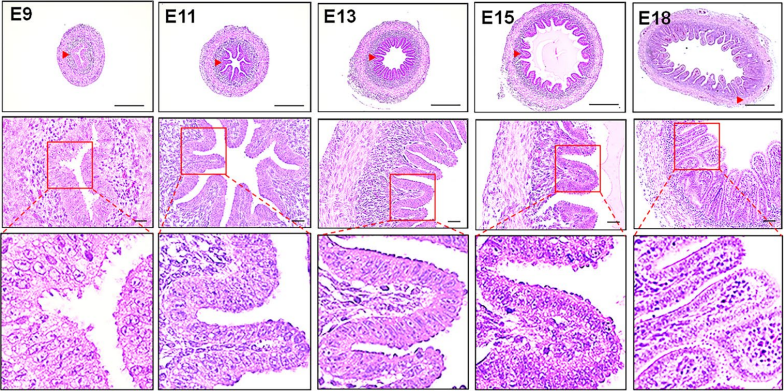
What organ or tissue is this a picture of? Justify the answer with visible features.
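Small intestine. Round tubular cross-sections with a central lumen. Mucosal folds or finger-like projections line the lumen and grow taller across the series. A simple columnar epithelium covers the projections, surrounded by a muscular wall.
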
